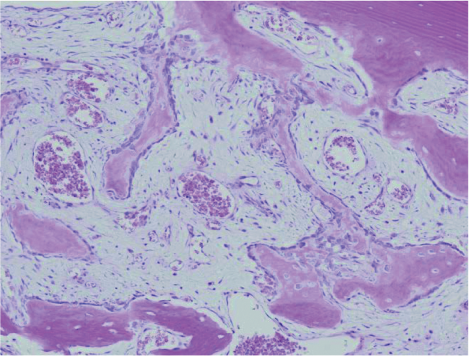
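This is bone with many thin-walled, endothelium-lined capillaries lying between pink bone trabeculae. The channels are small and rounded, filled with red blood cells, and lined by flat, thin cells. They sit in a loose, pale fibrous stroma with scattered spindle-shaped nuclei.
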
